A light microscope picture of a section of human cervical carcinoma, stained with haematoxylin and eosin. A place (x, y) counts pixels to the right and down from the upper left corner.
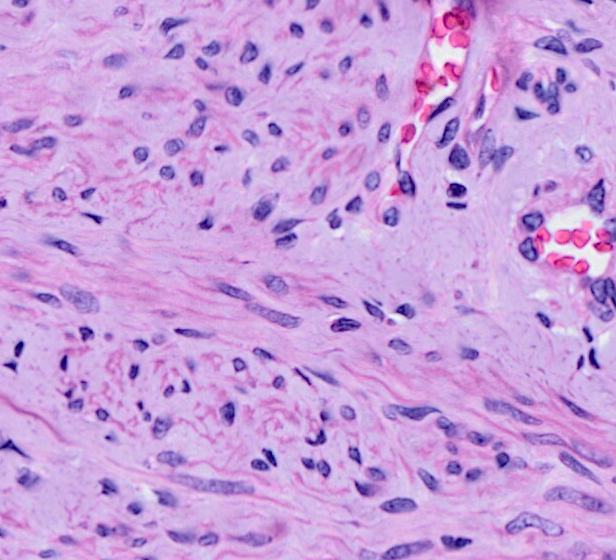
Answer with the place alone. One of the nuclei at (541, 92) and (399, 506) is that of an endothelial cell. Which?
(541, 92)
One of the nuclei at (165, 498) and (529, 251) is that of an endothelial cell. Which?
(529, 251)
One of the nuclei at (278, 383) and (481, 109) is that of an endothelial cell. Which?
(481, 109)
